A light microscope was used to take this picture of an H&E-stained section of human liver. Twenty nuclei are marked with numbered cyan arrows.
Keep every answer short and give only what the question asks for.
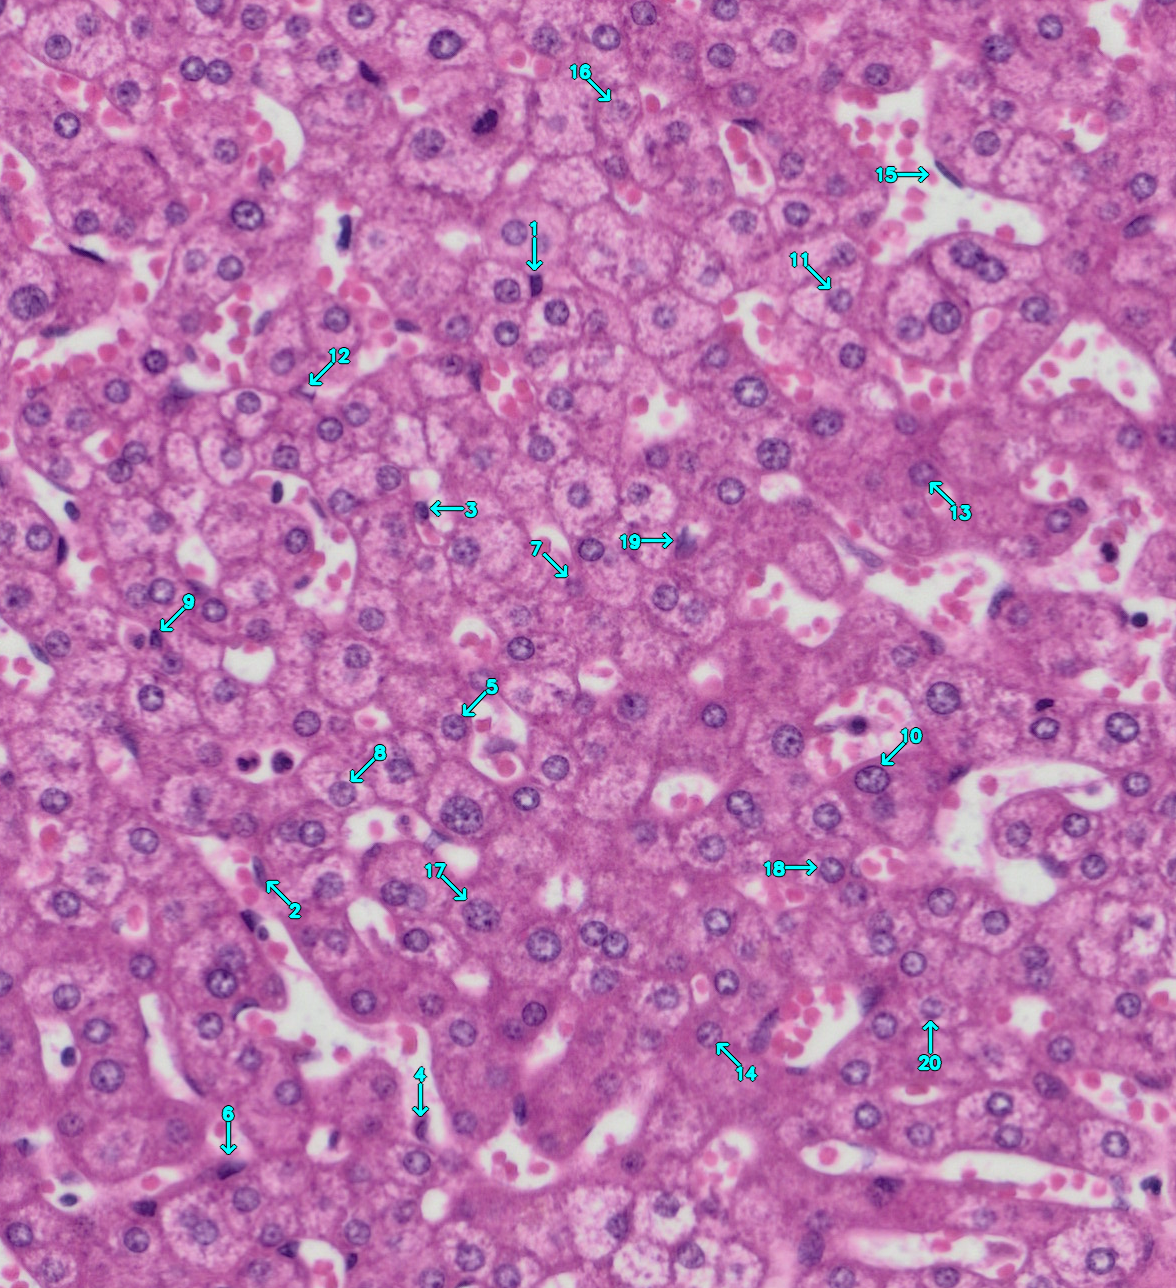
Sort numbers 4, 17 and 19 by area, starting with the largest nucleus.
17, 19, 4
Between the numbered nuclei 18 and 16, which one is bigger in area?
18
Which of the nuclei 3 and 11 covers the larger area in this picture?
11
